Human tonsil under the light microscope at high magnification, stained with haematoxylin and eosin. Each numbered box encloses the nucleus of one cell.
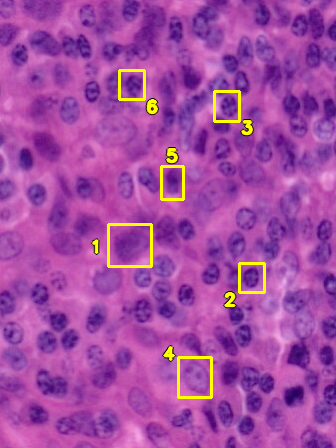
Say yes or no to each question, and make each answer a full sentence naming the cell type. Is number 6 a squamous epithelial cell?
No, the cell labelled 6 is a plasma cell and not a squamous epithelial cell.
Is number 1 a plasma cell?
No, cell 1 is identified not as a plasma cell but as a squamous epithelial cell.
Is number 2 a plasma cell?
Yes, cell 2 among the marked cells is a plasma cell.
